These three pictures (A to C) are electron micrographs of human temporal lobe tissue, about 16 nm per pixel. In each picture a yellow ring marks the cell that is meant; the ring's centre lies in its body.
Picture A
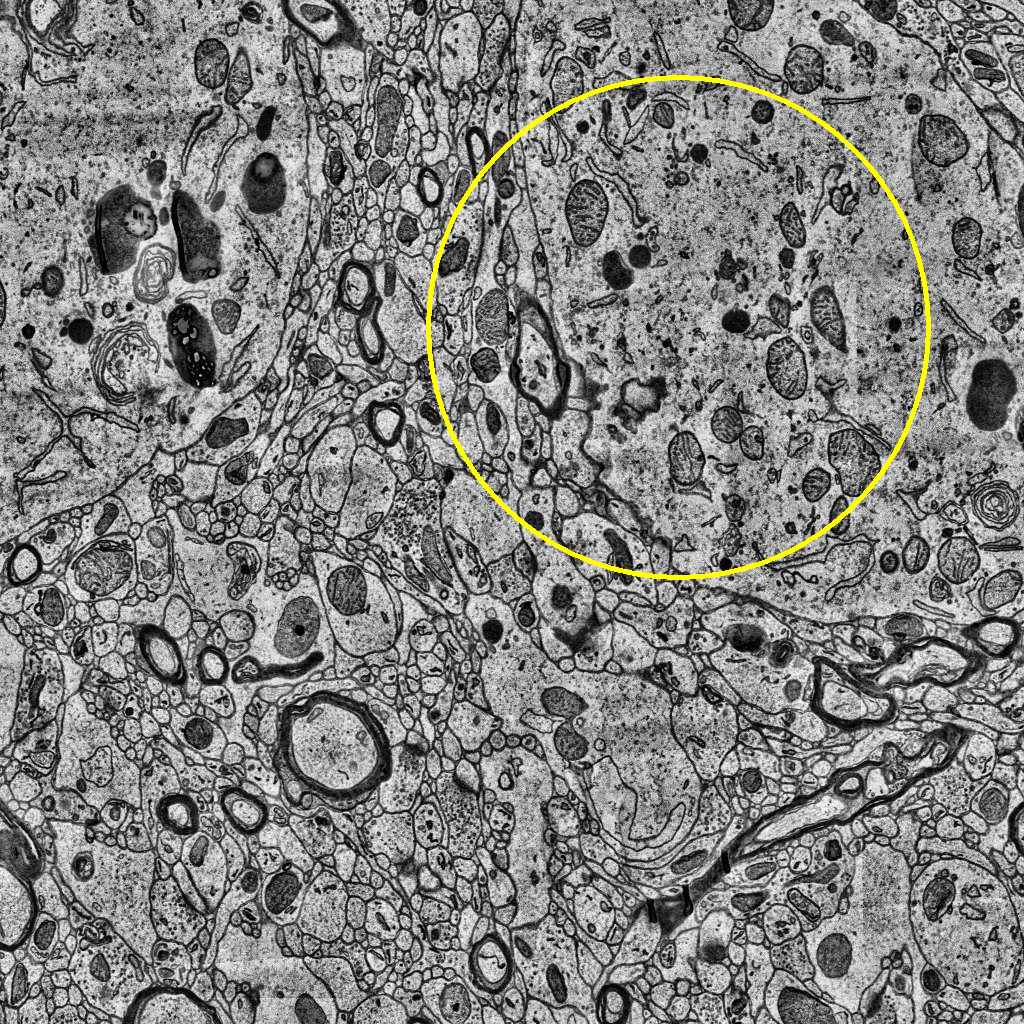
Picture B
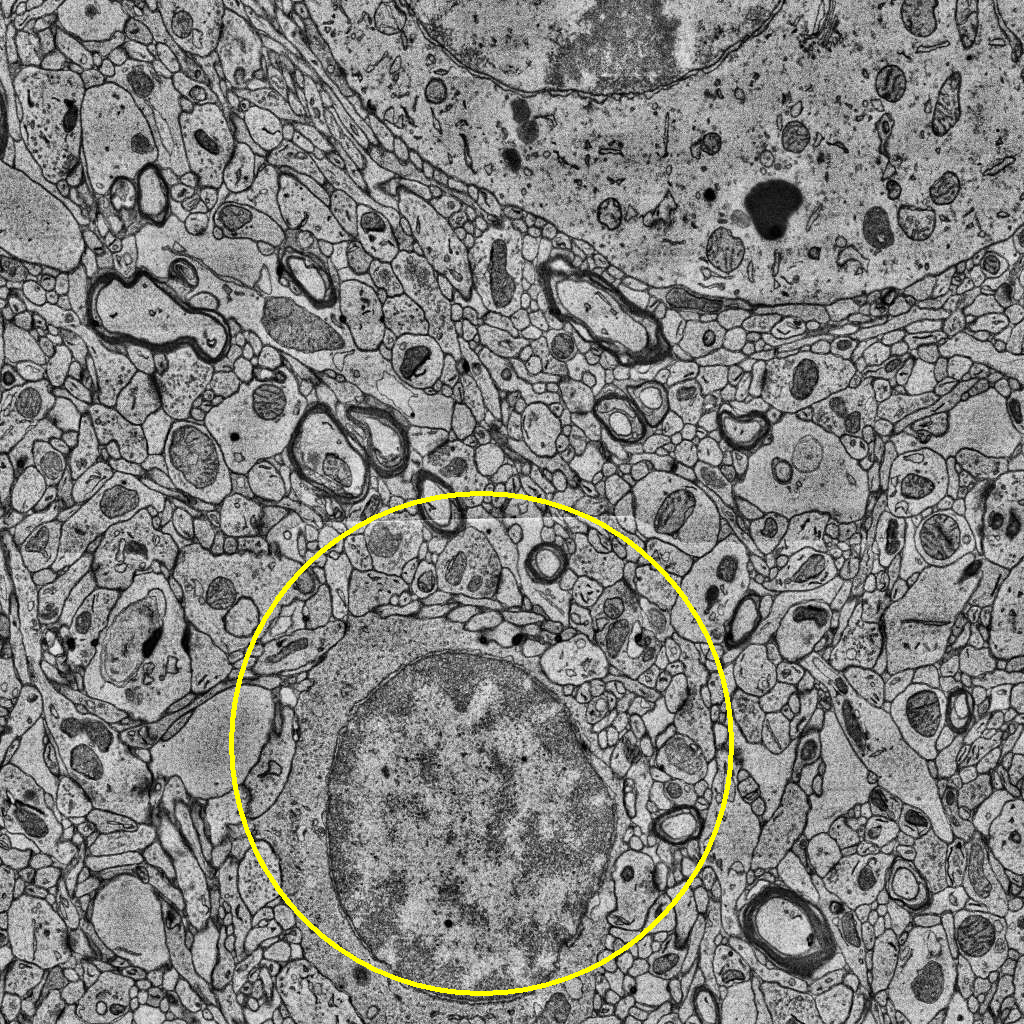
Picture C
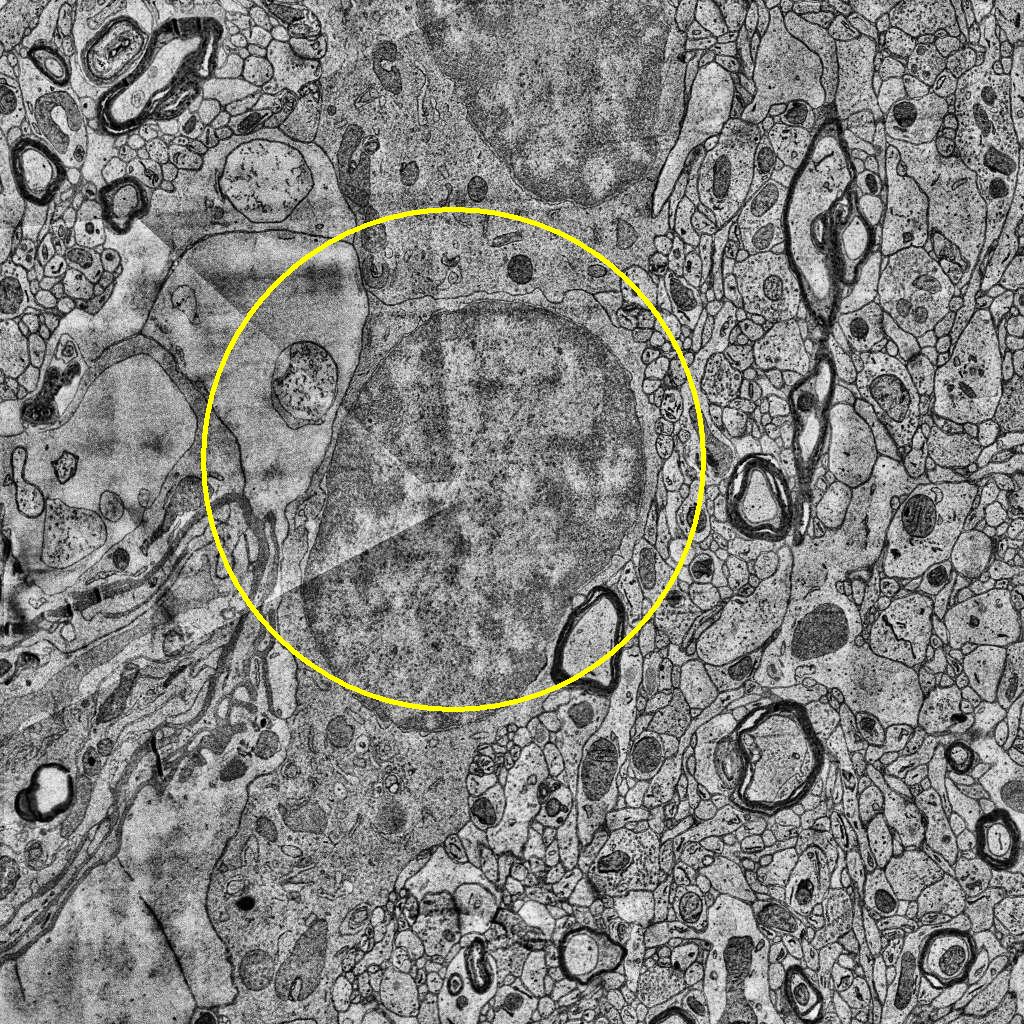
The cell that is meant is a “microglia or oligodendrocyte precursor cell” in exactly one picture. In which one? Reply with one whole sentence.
The cell in picture A is the “microglia or oligodendrocyte precursor cell”.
